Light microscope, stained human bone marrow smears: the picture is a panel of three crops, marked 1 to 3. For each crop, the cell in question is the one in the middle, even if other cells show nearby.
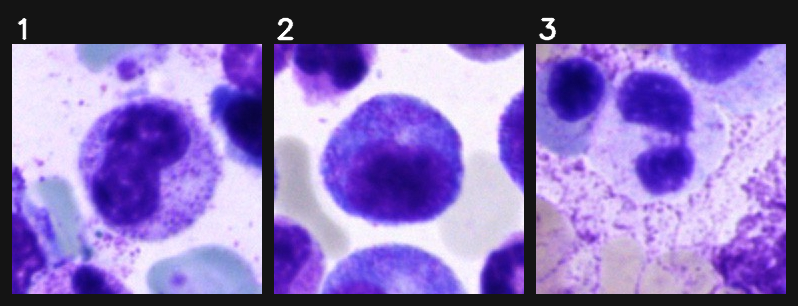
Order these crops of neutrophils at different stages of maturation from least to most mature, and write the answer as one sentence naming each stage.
The crops, when placed from least to most mature, read crop 2 (a promyelocyte), crop 1 (a metamyelocyte) and crop 3 (a segmented neutrophil).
